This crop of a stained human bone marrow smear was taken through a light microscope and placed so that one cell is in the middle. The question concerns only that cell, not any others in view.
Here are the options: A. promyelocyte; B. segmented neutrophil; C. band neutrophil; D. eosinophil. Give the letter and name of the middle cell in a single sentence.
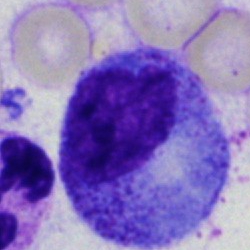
The one cell at the centre is a promyelocyte, as correctly stated in option A.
